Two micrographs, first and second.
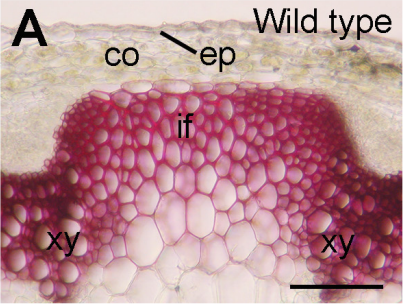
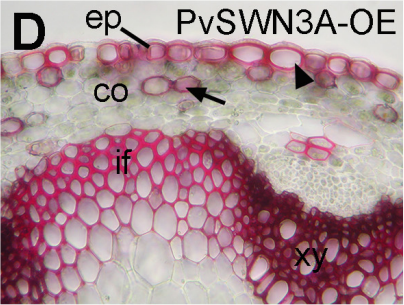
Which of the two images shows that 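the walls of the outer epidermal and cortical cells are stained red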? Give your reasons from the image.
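Second image: the outermost cell row and scattered cells beneath it have red walls. First image: the outer cell layers are pale, with unstained walls; red is confined to the inner fiber band and xylem. That points to this answer: the second image.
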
